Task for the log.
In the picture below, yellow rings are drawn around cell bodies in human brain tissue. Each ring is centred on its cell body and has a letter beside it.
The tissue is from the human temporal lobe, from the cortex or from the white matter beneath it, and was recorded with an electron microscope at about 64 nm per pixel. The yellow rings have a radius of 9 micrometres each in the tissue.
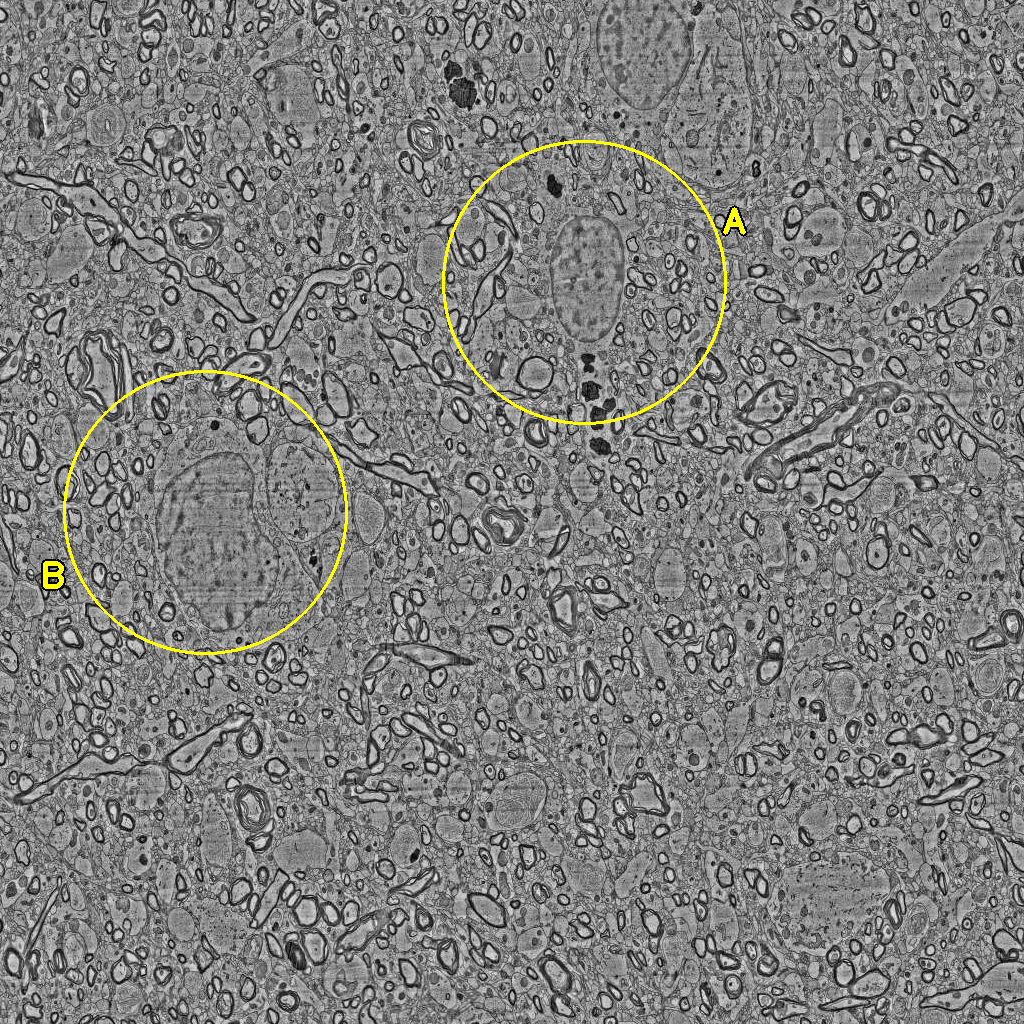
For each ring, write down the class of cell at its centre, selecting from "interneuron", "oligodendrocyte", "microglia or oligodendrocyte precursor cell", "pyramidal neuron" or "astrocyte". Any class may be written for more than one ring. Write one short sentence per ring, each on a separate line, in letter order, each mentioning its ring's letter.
The cell inside ring A, at its centre, is an oligodendrocyte.
The cell inside ring B, at its centre, is an interneuron.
